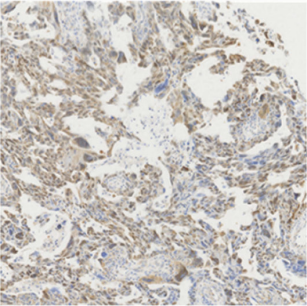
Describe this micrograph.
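The cells are crowded and irregular, many of them elongated, and their nuclei show as blue-grey ovals. Small clefts and open spaces break up the sheets of cells, and a few scattered cells stain mostly blue with little brown.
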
